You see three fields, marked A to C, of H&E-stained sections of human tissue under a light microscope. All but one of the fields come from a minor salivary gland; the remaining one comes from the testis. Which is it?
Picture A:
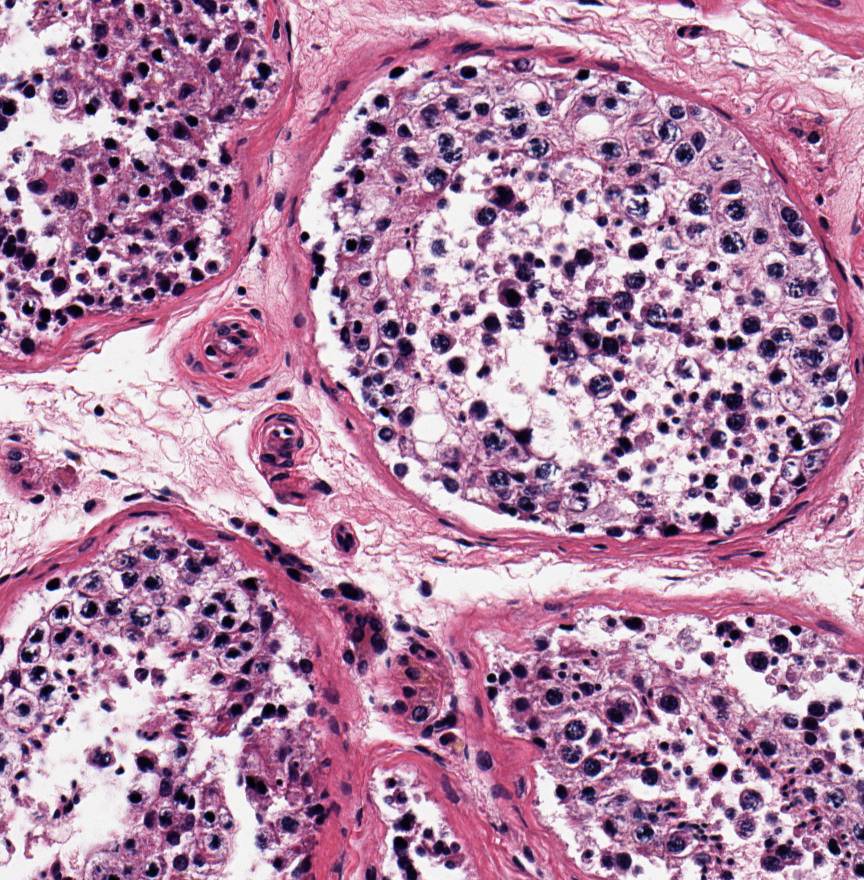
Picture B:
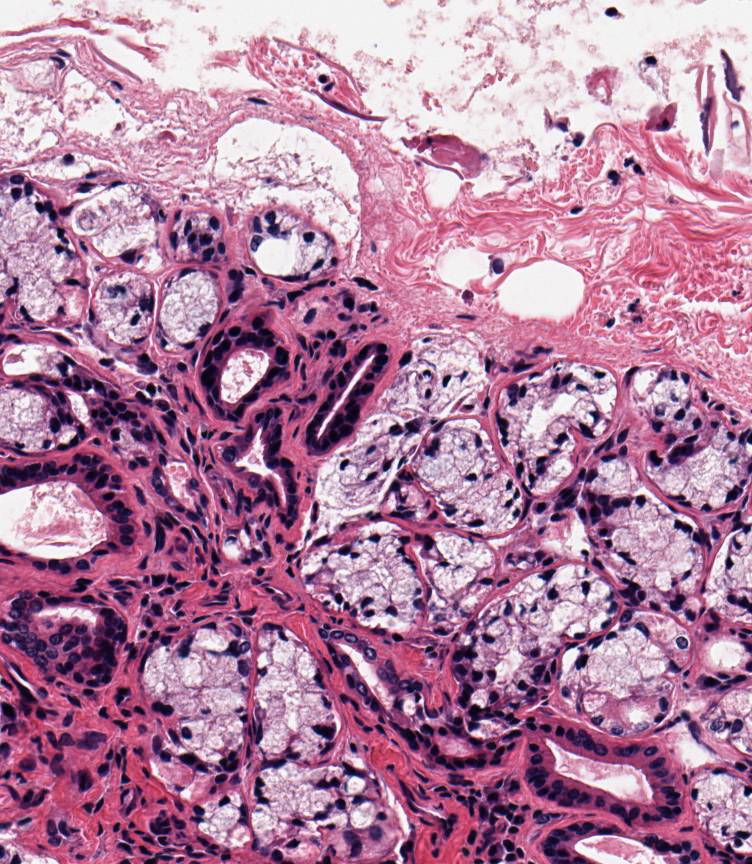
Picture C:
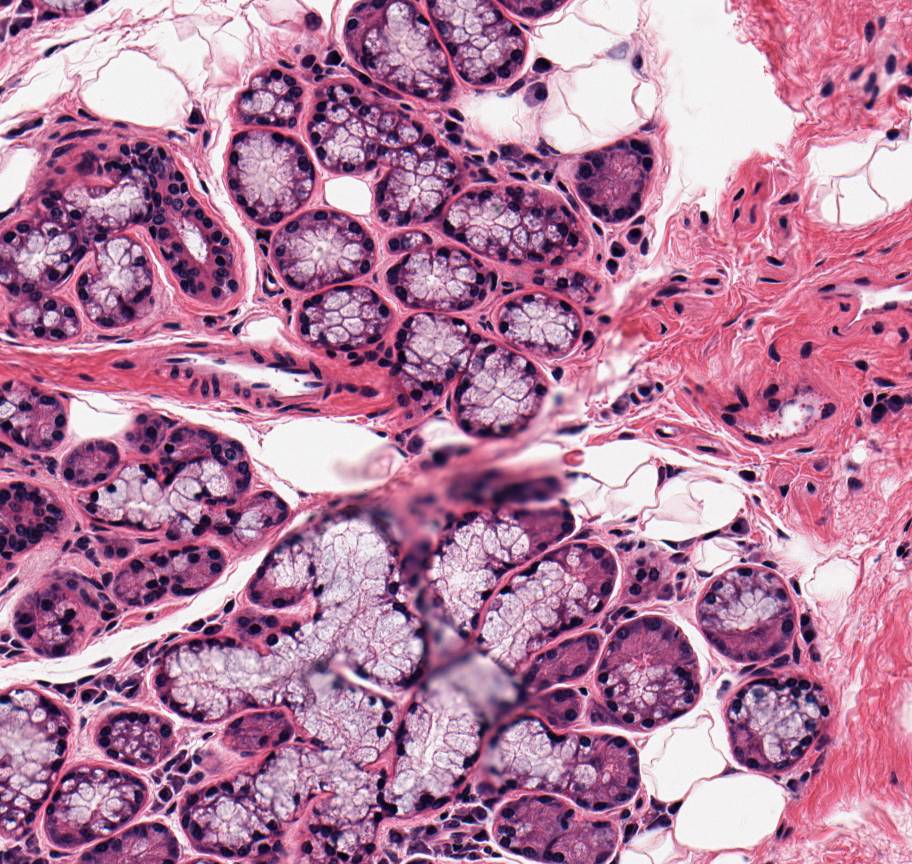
A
